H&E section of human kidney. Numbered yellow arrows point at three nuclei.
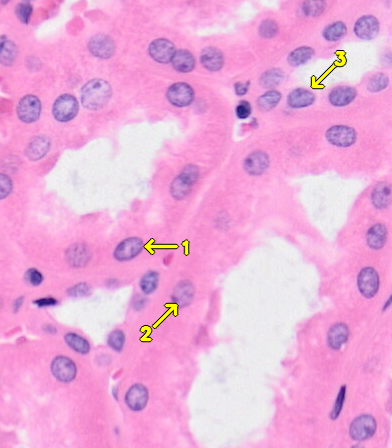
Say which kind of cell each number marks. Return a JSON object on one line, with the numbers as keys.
{"1": "proximal tubule cell", "2": "proximal tubule cell", "3": "collecting duct cell"}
